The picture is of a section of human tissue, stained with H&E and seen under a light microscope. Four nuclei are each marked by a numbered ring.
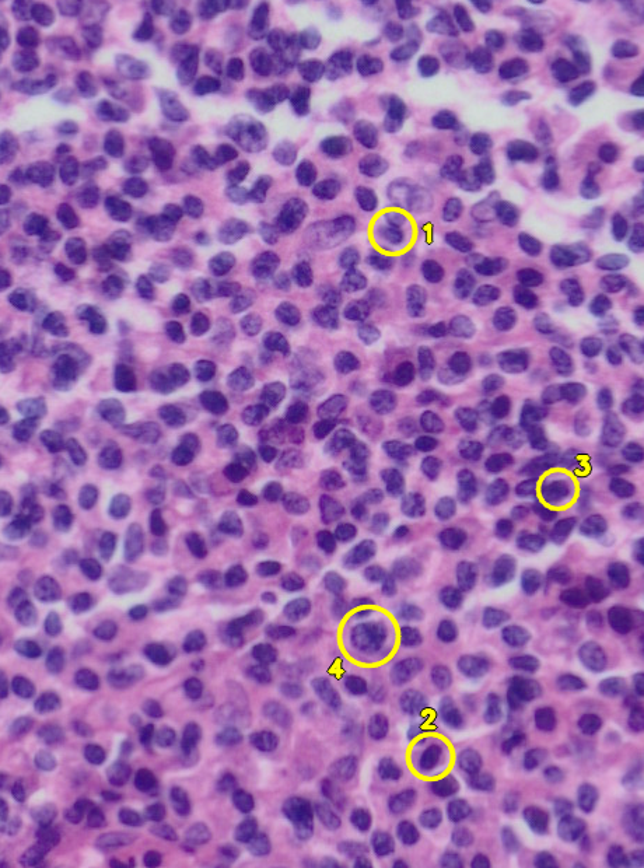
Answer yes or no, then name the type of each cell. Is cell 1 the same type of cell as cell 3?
Yes, that is right: cells 1 and 3 are both small lymphocytes.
